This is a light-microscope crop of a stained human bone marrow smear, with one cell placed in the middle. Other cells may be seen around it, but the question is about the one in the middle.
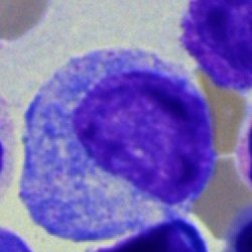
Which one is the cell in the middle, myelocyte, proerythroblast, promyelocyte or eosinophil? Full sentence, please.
The cell positioned in the middle of the field is a promyelocyte.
